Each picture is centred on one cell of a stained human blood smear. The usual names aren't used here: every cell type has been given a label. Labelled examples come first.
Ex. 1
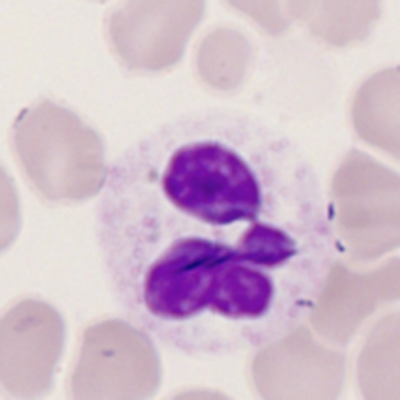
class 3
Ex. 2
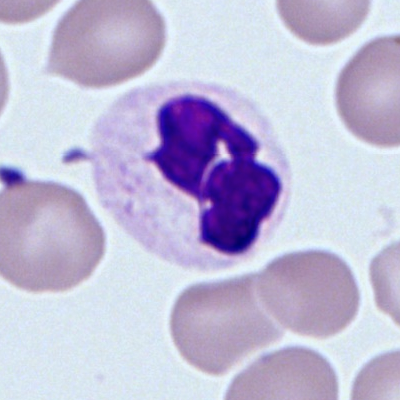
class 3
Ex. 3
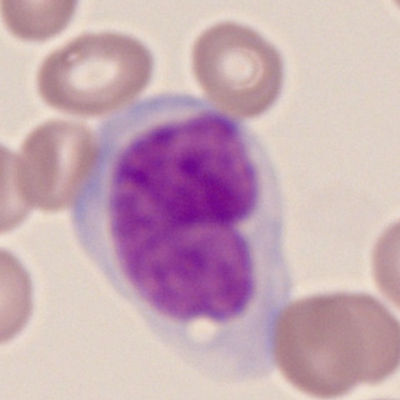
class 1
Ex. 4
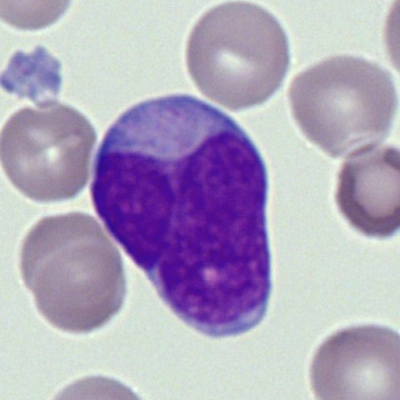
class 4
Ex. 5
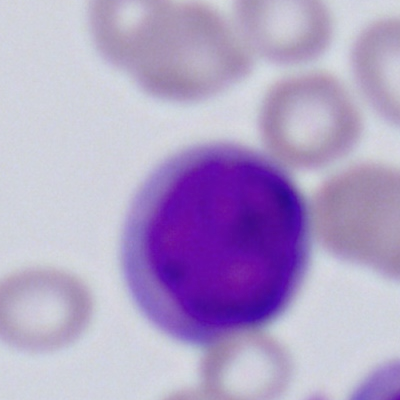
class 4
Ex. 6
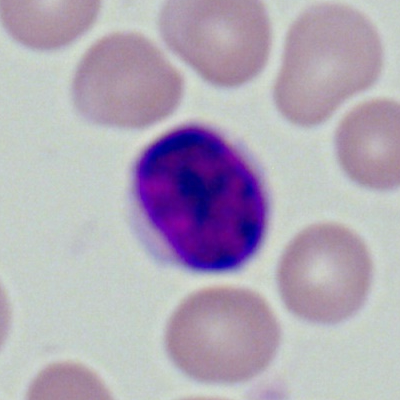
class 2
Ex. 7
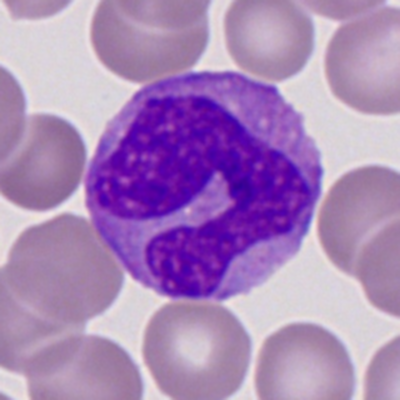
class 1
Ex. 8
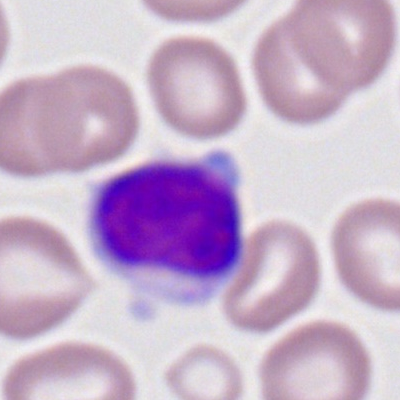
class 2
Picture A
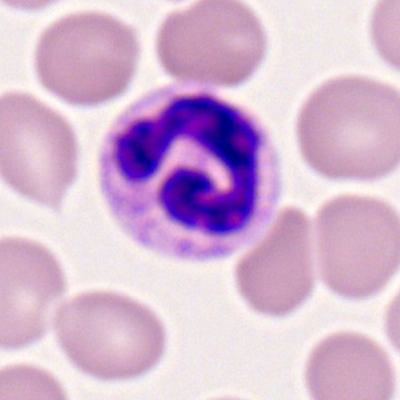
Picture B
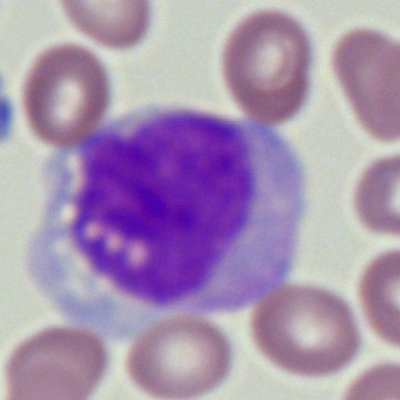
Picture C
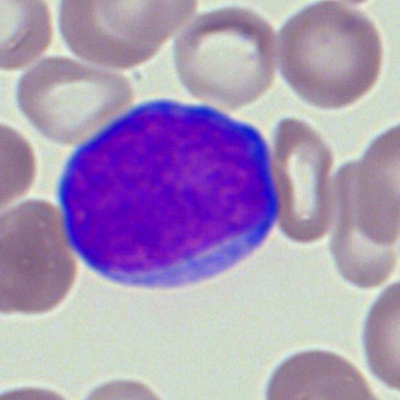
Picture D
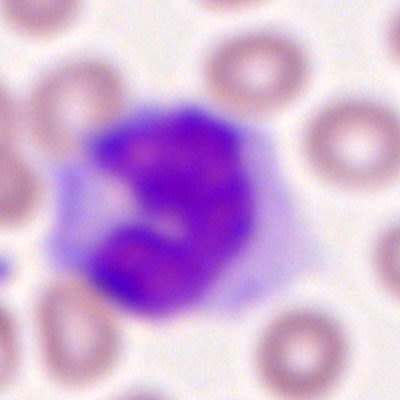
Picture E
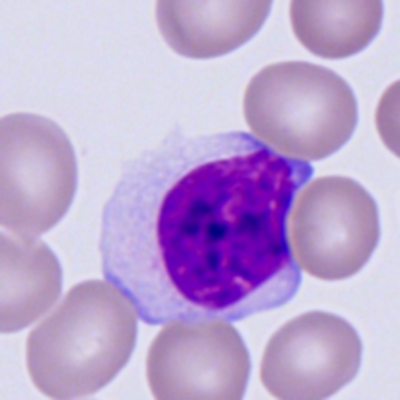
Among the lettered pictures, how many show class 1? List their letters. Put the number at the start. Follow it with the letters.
2, namely B, D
